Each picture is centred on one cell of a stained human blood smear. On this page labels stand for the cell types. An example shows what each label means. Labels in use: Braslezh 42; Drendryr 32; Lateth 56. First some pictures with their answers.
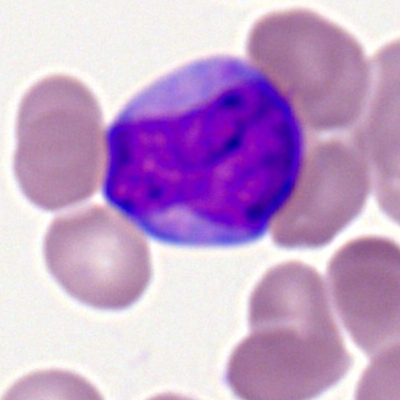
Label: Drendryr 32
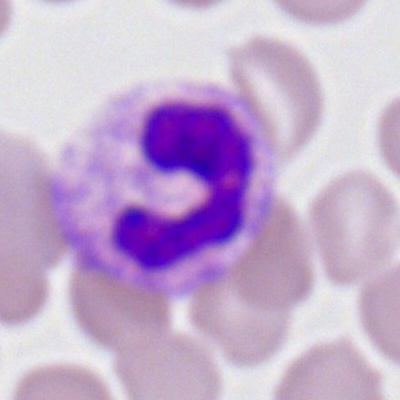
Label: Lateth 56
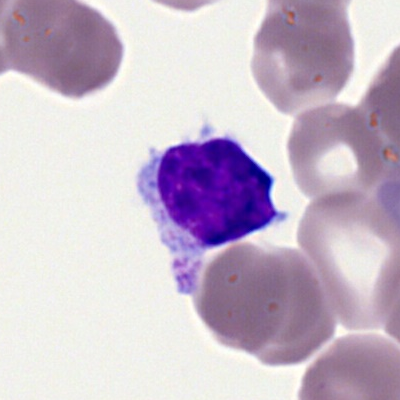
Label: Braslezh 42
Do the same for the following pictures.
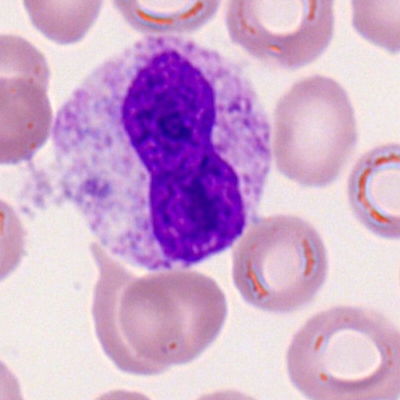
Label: Lateth 56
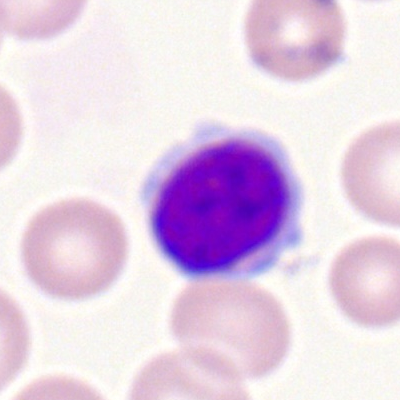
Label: Braslezh 42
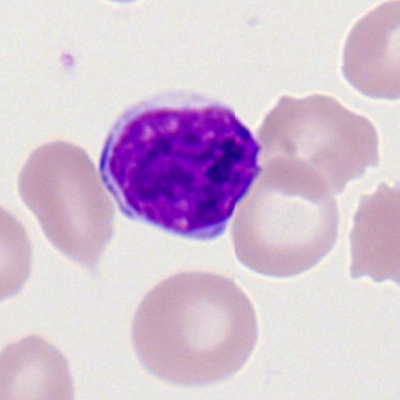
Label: Braslezh 42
